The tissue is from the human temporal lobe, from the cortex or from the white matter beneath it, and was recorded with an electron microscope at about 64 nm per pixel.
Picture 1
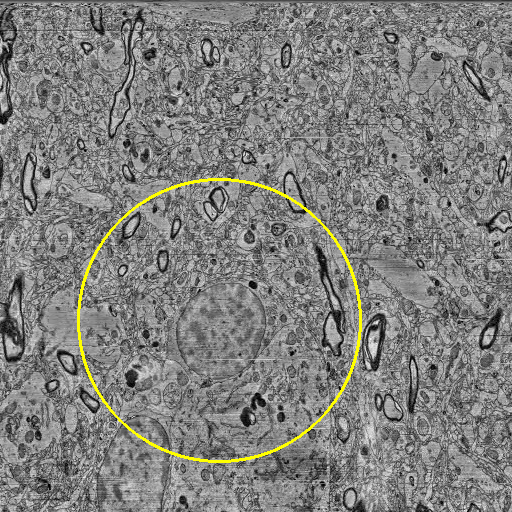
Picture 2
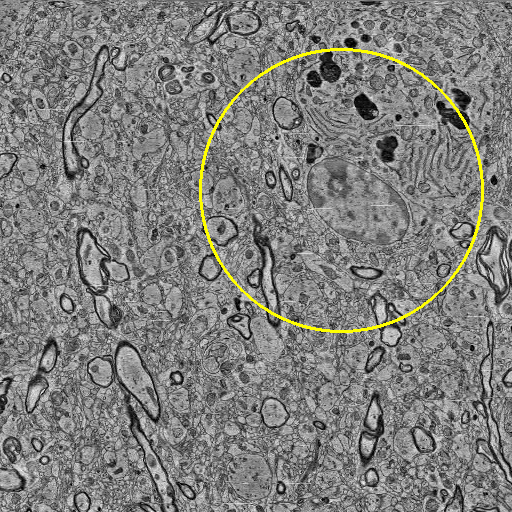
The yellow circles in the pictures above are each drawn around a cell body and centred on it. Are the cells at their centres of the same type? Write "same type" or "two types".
two types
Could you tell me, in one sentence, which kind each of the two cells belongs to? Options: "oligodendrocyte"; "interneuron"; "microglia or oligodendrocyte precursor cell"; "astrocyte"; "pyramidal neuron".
At the centre of the first ring sits an oligodendrocyte, and at the centre of the second sits a microglial cell or oligodendrocyte precursor cell.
